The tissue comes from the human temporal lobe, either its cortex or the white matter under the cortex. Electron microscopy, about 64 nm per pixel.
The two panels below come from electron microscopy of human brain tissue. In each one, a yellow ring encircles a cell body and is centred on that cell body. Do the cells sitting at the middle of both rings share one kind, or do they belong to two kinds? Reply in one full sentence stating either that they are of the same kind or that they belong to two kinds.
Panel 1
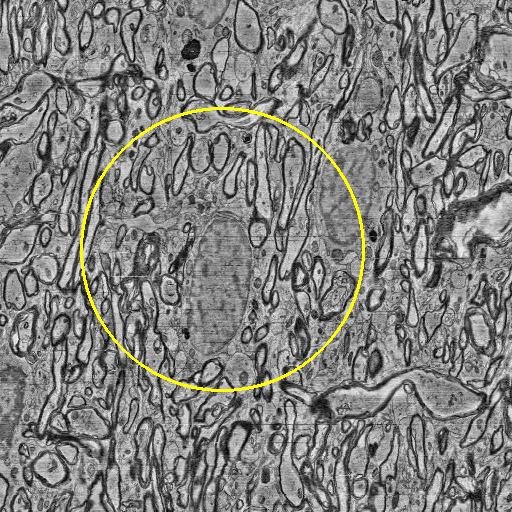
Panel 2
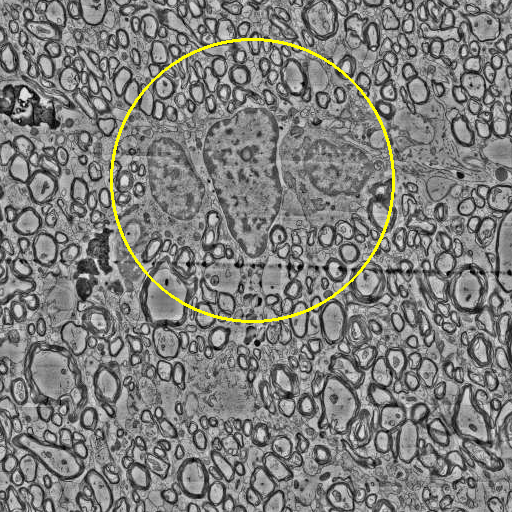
The cells at the centres of the two rings belong to two kinds.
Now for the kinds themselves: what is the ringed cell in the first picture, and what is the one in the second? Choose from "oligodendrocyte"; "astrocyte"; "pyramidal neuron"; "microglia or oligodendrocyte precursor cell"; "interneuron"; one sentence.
Here the first cell is an oligodendrocyte and the second cell is a microglial cell or oligodendrocyte precursor cell.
